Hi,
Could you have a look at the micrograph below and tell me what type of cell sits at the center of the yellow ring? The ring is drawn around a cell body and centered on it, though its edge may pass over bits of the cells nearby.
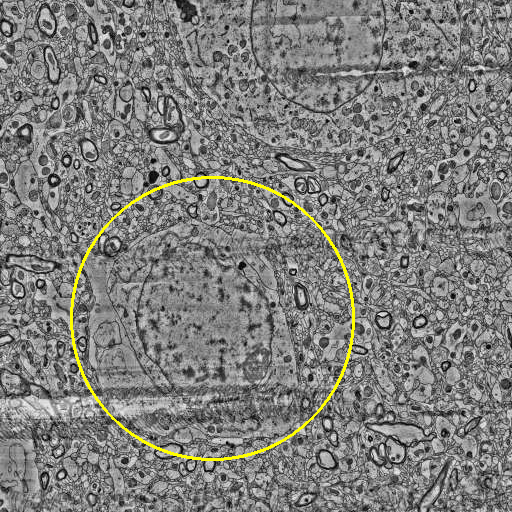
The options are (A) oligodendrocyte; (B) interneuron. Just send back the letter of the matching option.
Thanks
B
